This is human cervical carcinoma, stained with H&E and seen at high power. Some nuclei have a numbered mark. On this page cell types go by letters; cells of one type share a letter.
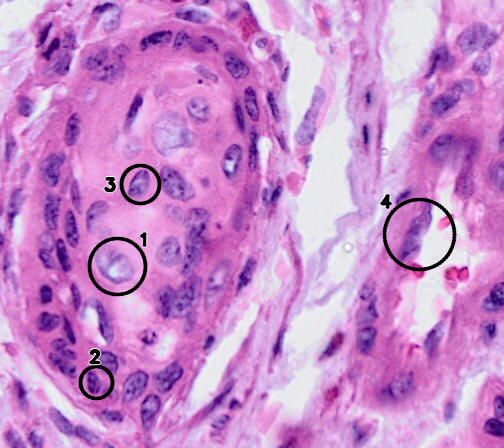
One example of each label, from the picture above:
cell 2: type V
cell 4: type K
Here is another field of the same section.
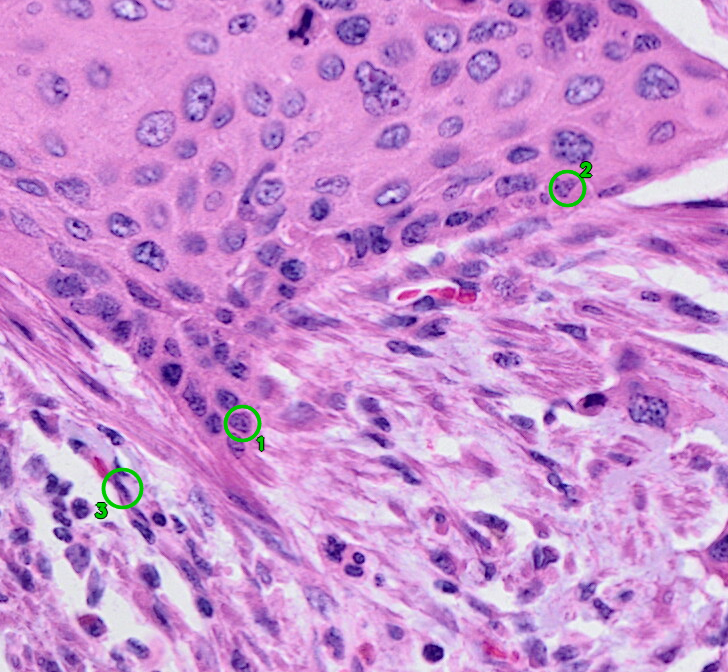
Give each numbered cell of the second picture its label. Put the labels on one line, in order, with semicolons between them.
type V; type V; type K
